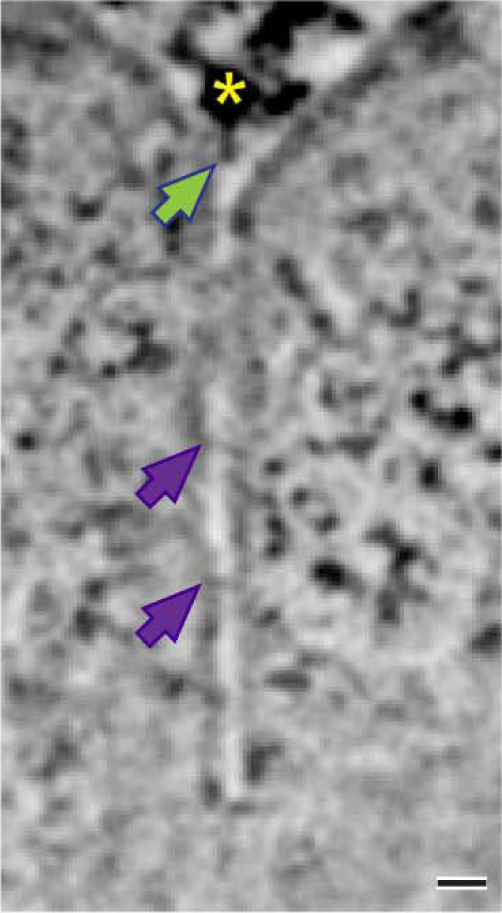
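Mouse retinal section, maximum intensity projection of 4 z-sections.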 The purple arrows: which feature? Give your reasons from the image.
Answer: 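Connectors between apposing sides of the incisure. Faint bridges cross the narrow pale cleft between its two edges.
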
